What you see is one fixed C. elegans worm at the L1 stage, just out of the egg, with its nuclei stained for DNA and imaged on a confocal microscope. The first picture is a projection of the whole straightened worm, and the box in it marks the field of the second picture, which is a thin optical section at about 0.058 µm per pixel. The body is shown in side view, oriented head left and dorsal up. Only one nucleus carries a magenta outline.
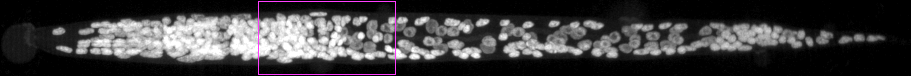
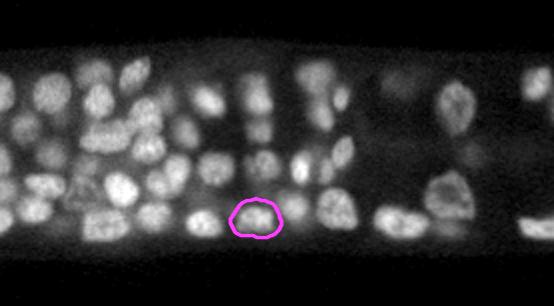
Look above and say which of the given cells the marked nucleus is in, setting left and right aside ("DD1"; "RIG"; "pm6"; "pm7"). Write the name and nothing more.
DD1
